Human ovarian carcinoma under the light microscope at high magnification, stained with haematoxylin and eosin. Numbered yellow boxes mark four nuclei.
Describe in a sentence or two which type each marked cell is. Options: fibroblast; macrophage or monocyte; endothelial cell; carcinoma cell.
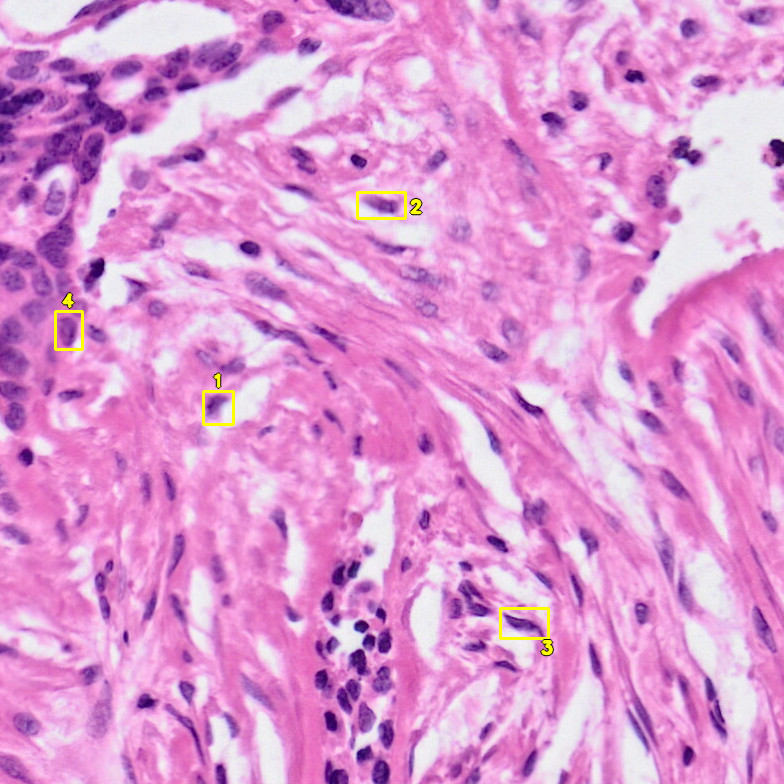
Cell 1 is a fibroblast, cell 2 is a fibroblast, cell 3 is a fibroblast and cell 4 is a carcinoma cell.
